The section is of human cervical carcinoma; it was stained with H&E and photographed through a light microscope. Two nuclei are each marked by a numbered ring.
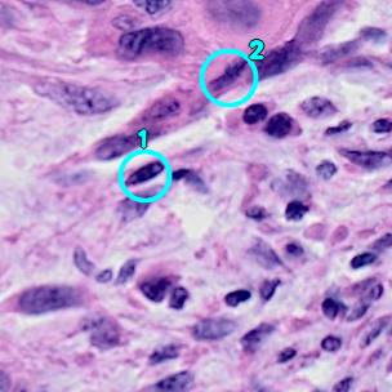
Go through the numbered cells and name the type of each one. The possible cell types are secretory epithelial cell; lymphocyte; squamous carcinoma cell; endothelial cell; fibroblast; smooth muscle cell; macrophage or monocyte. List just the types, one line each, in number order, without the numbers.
lymphocyte
squamous carcinoma cell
